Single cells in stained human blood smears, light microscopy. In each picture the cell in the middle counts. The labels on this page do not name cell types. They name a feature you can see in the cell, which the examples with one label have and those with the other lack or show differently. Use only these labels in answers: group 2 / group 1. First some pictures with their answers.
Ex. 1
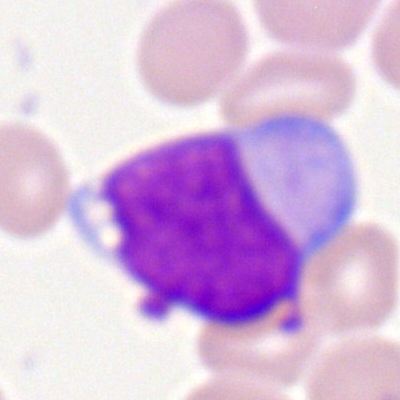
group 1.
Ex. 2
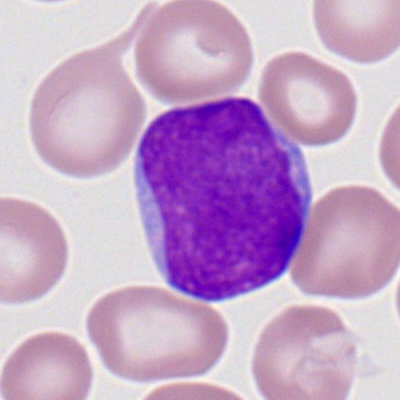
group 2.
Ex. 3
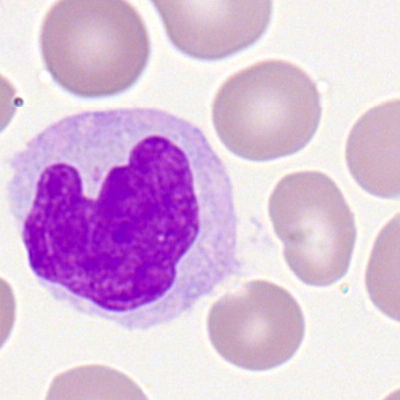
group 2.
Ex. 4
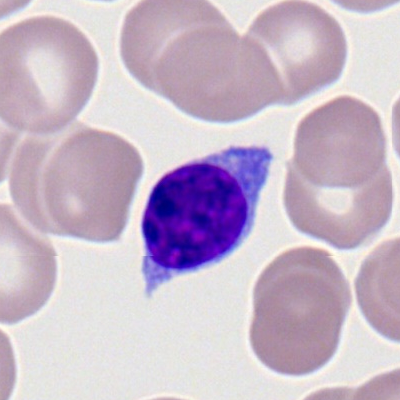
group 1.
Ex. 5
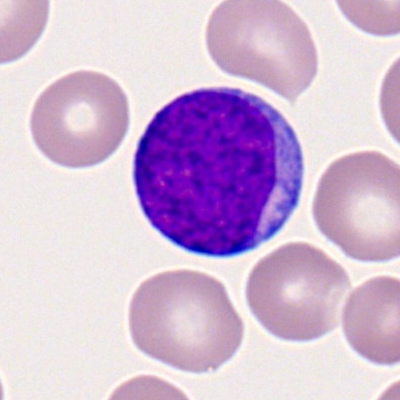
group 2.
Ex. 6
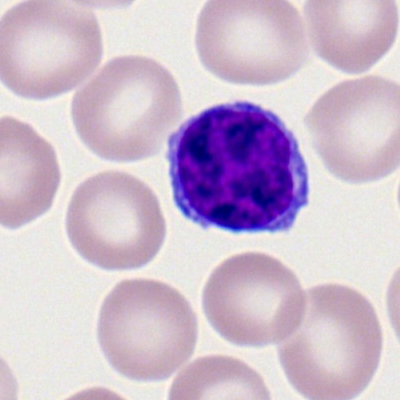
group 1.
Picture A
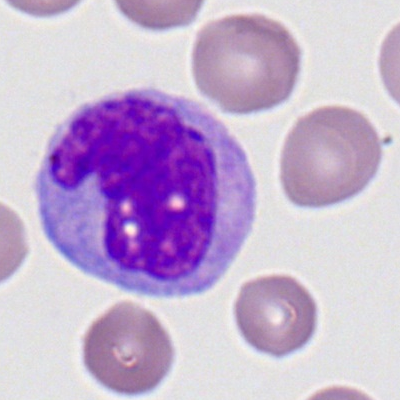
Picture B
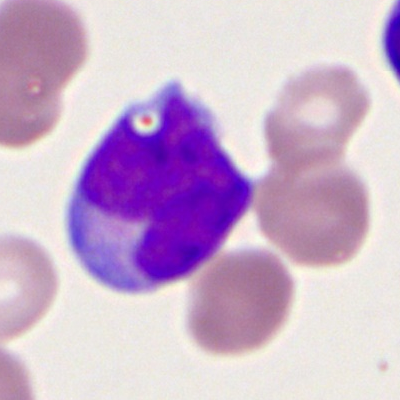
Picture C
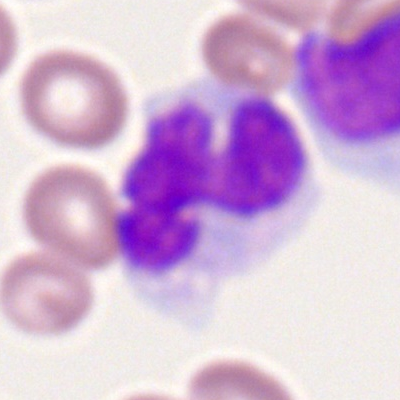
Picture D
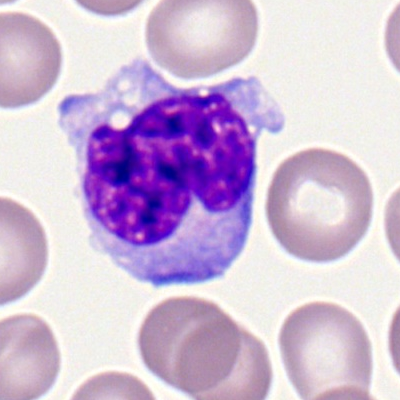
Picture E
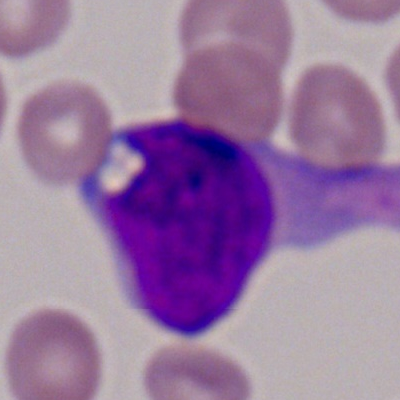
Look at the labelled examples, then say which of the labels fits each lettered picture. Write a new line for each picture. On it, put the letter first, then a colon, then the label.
A: group 2.
B: group 1.
C: group 1.
D: group 1.
E: group 1.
